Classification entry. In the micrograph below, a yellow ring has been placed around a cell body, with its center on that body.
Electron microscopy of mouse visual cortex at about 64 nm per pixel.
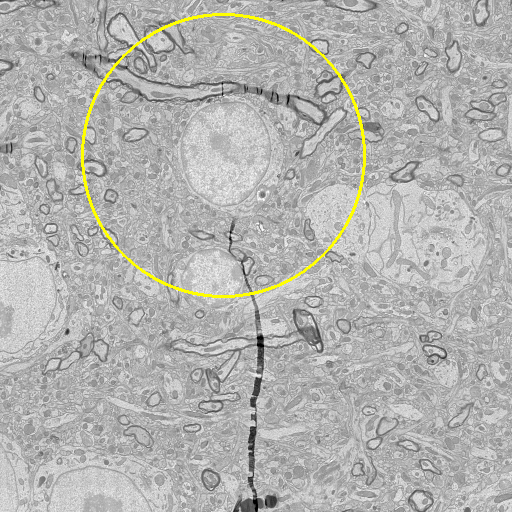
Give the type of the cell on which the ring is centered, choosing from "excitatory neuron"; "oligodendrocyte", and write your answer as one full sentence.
The cell body at the center of the yellow ring belongs to an oligodendrocyte.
